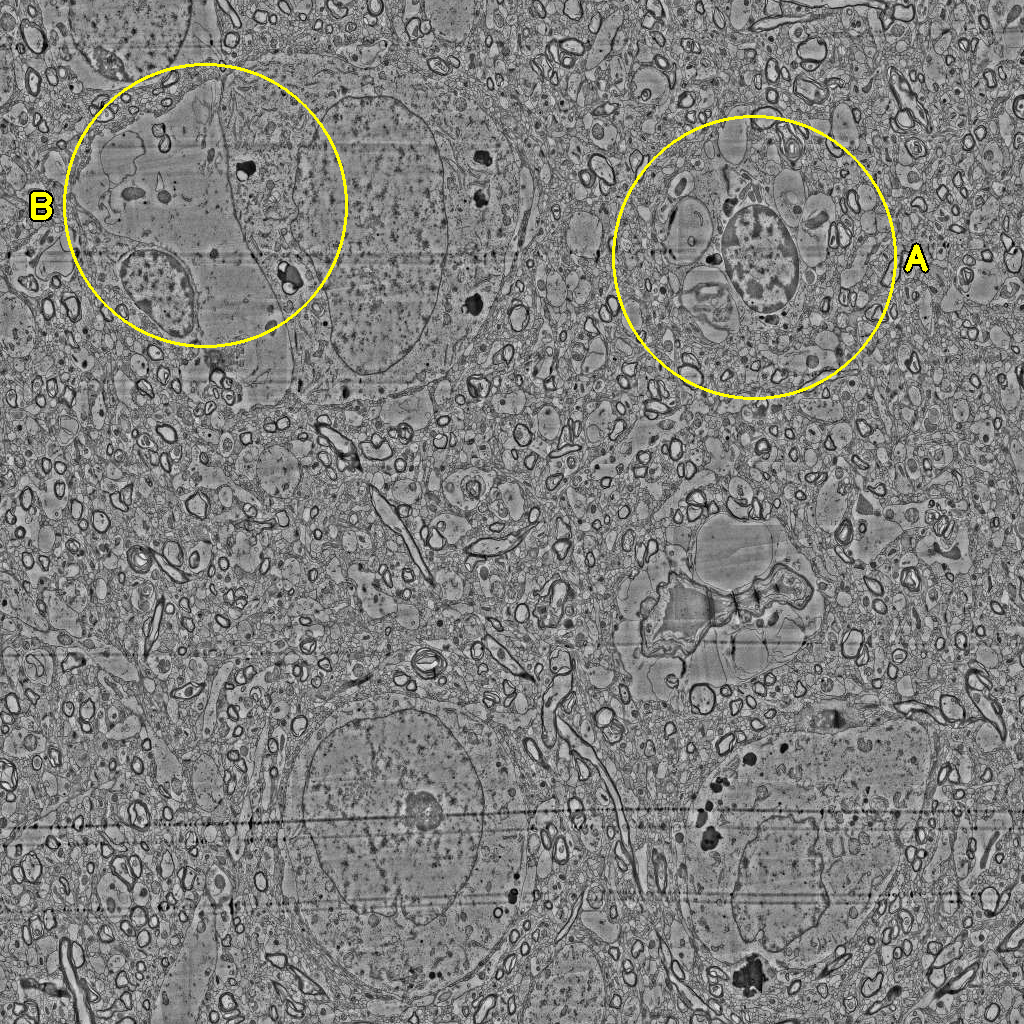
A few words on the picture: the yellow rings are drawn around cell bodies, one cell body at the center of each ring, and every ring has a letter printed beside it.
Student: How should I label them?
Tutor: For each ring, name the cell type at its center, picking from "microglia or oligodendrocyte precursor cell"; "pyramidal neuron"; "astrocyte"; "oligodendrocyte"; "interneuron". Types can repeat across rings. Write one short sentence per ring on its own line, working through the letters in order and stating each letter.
In ring A, the central cell is a microglial cell or oligodendrocyte precursor cell.
In ring B, the central cell is an astrocyte.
